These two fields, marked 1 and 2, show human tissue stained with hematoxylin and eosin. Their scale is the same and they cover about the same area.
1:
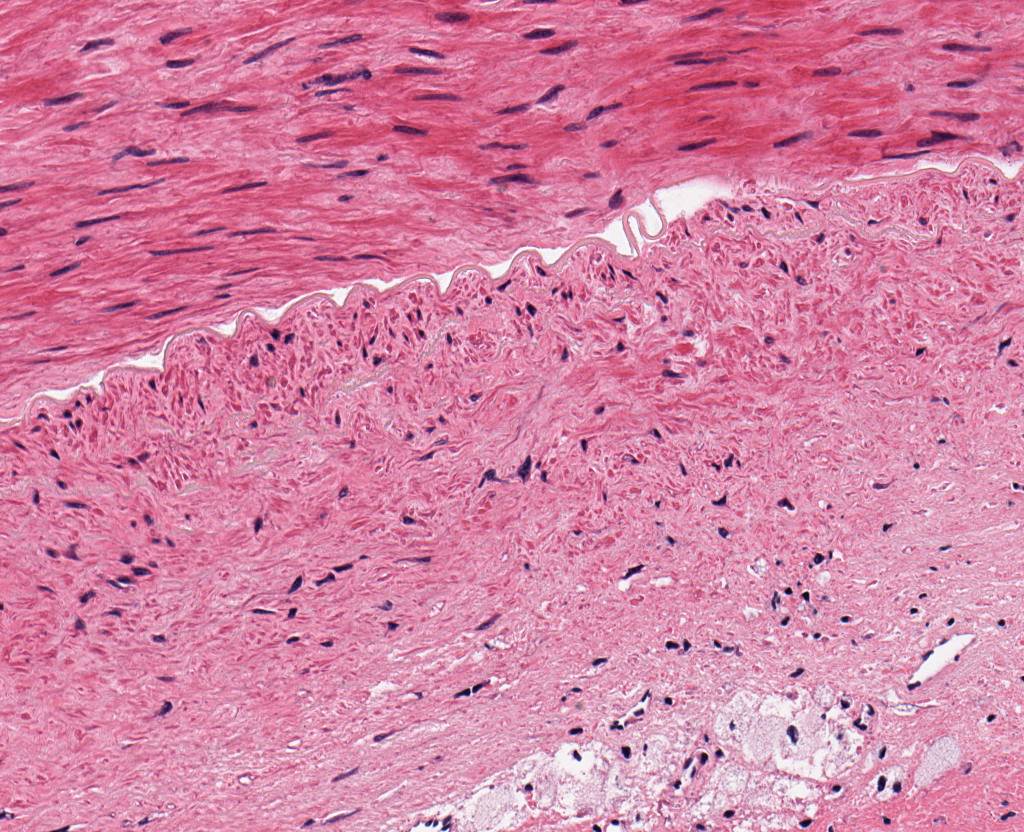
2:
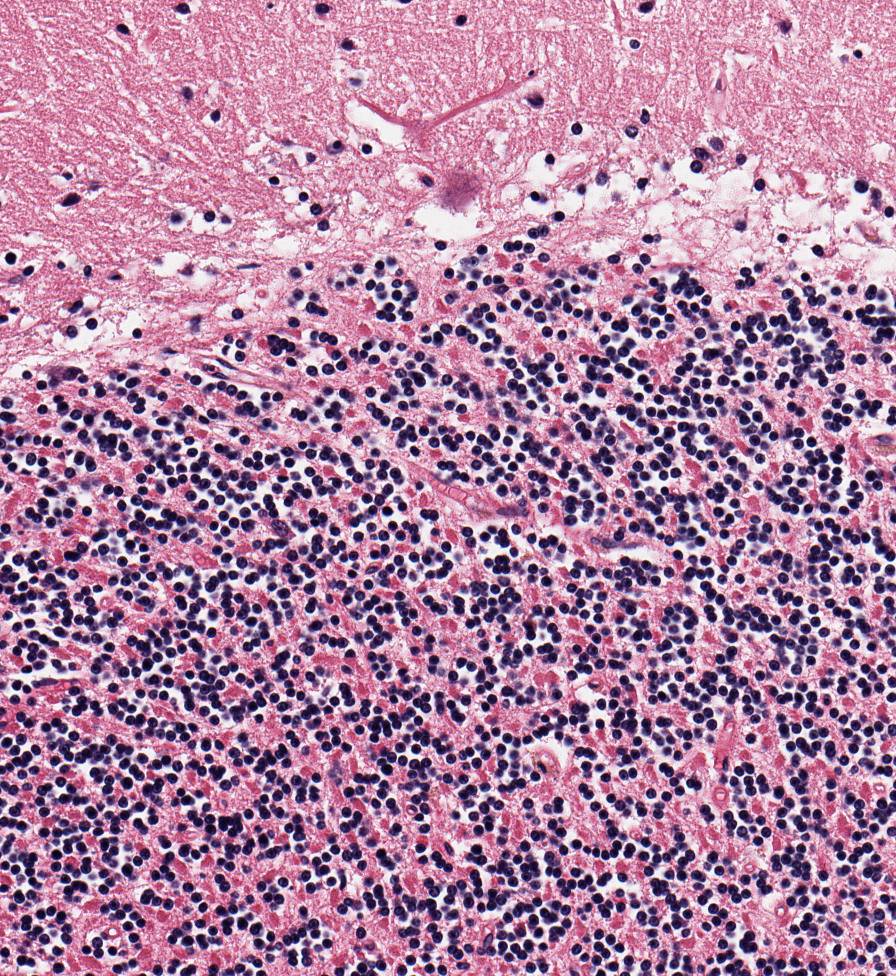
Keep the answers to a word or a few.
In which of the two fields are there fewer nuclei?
1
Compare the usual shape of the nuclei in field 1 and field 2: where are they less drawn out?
2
